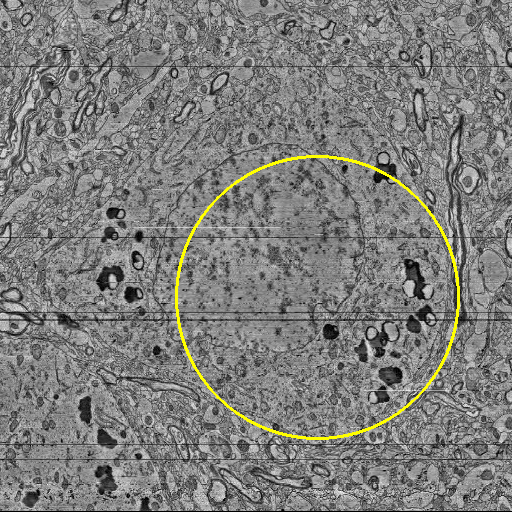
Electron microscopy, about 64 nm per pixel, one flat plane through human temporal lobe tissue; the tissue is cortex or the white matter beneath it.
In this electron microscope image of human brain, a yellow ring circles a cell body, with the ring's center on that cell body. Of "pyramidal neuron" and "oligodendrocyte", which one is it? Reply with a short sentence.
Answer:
It is a pyramidal neuron at the center of the ring.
